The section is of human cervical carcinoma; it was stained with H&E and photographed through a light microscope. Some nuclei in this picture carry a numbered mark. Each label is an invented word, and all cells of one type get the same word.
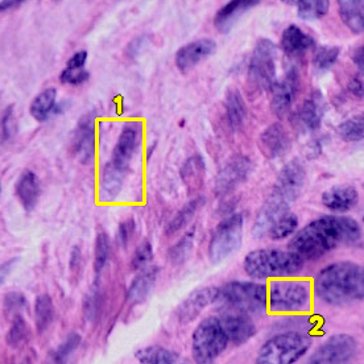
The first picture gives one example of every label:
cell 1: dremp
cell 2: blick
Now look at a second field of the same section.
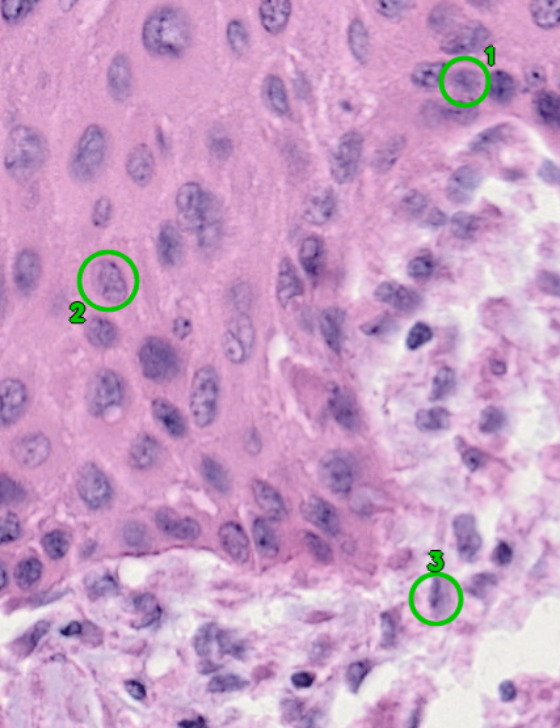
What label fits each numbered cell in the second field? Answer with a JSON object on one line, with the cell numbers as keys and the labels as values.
{"1": "blick", "2": "blick", "3": "dremp"}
